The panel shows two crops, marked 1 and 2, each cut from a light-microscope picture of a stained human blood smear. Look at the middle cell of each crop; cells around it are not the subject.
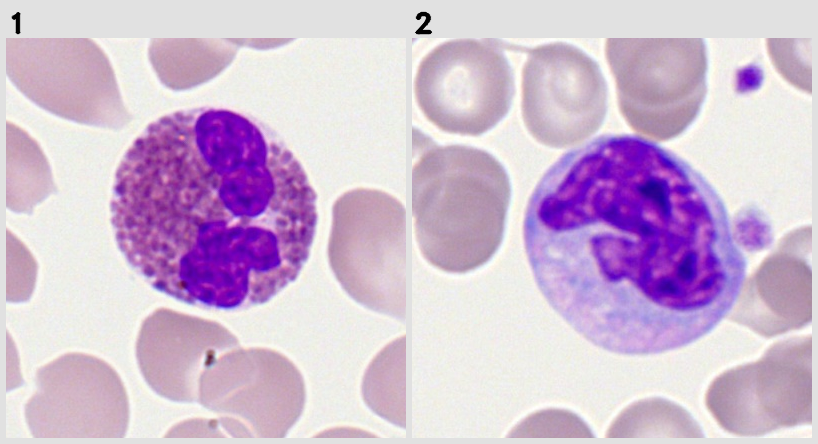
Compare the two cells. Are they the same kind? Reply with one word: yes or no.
no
